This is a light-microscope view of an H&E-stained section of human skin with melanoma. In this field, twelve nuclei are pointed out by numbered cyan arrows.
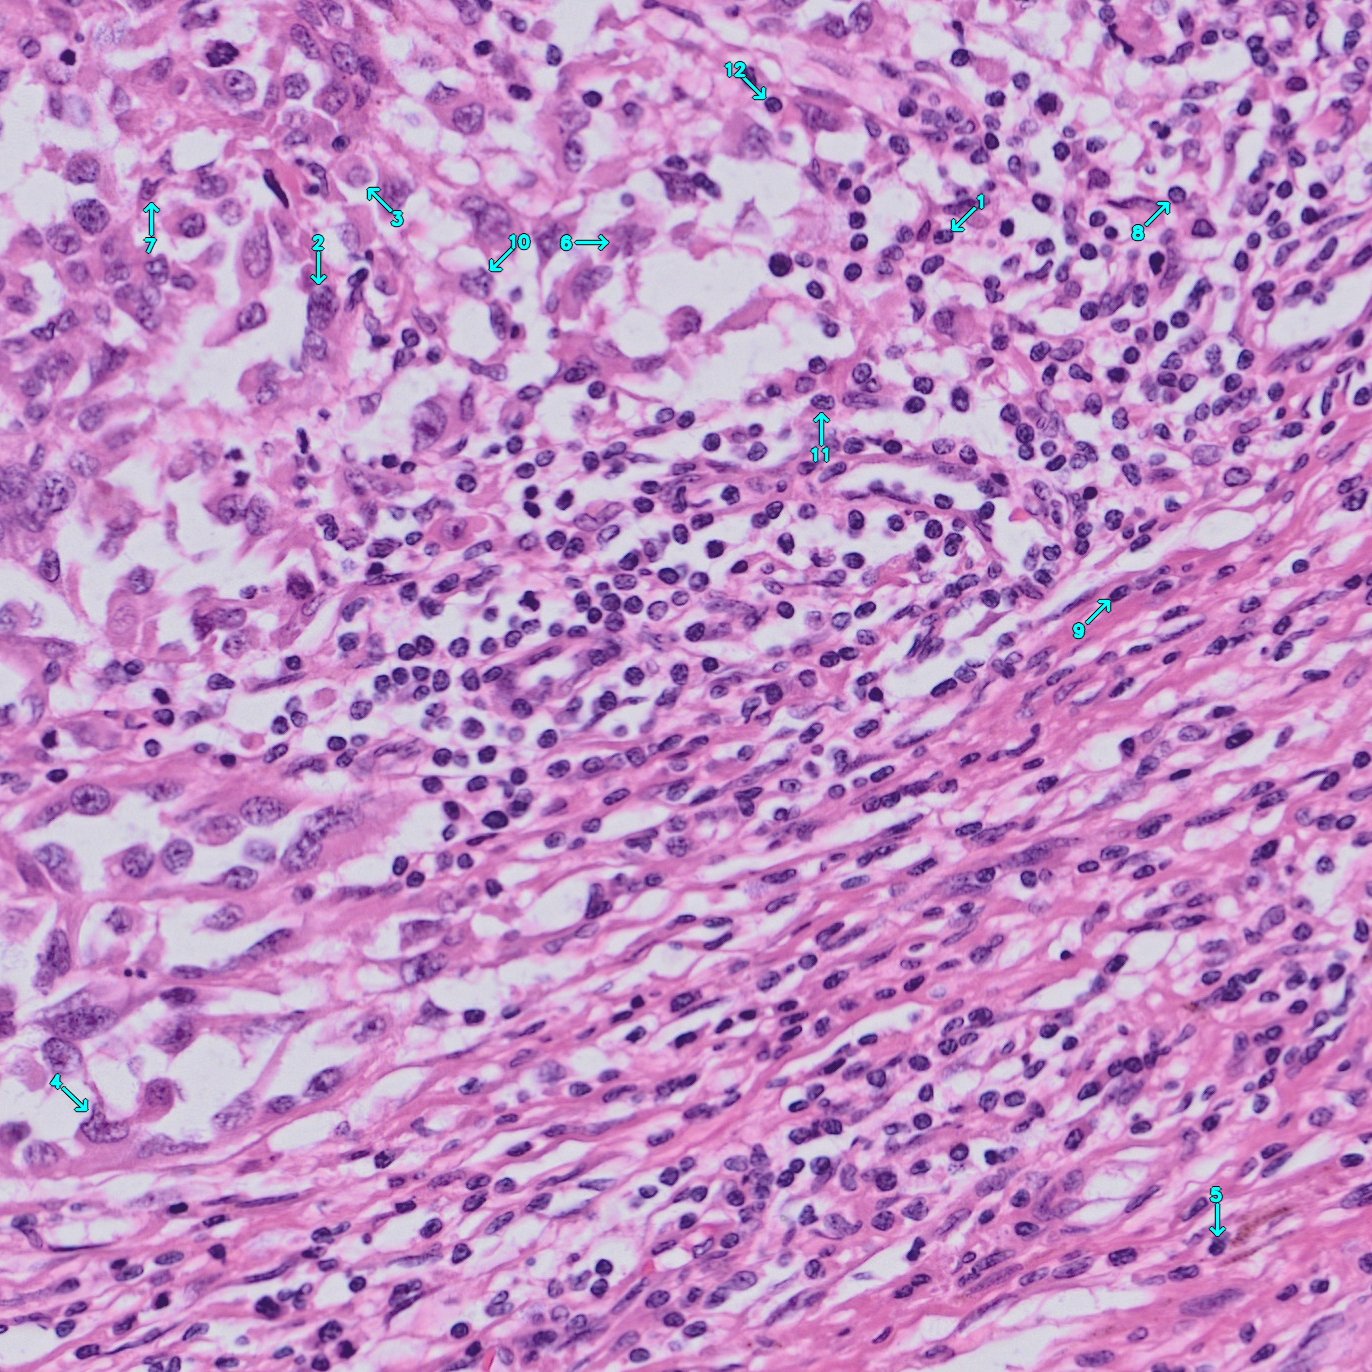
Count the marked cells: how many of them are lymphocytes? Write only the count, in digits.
6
